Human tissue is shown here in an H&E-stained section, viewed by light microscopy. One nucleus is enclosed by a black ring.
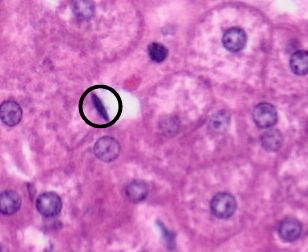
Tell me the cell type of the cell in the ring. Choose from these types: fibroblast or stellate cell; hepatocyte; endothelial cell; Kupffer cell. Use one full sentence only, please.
What the cell in the ring represents is an endothelial cell.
